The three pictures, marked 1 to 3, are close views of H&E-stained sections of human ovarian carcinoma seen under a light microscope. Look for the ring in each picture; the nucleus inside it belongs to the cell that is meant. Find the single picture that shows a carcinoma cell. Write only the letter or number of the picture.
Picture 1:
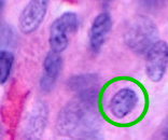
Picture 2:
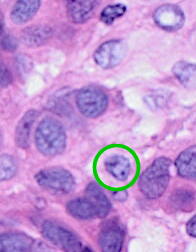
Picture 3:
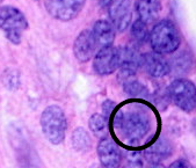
3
